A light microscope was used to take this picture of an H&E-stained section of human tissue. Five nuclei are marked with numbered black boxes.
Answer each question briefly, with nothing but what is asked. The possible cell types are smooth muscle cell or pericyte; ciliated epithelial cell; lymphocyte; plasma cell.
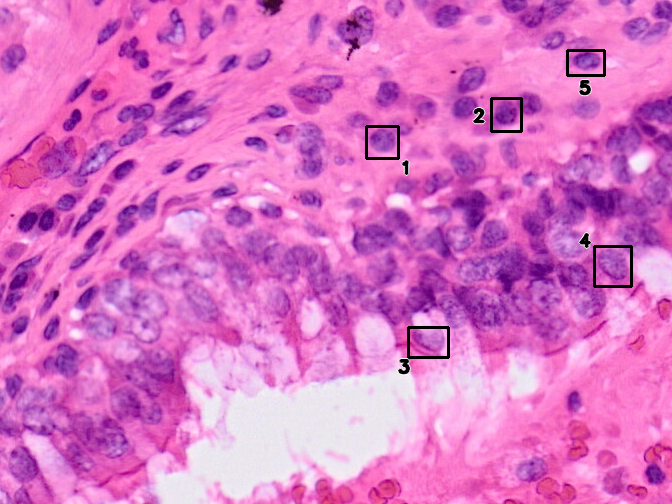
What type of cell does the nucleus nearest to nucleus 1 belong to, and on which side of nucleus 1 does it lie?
a plasma cell; above and to the right of nucleus 1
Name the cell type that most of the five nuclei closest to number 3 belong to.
ciliated epithelial cell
